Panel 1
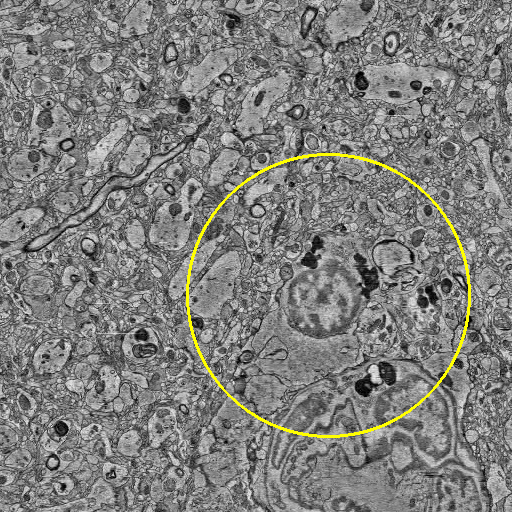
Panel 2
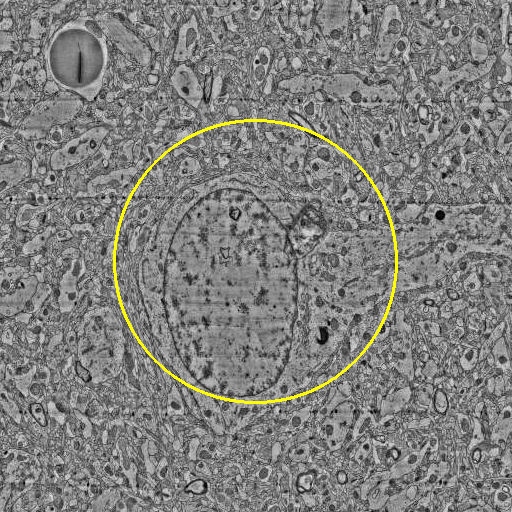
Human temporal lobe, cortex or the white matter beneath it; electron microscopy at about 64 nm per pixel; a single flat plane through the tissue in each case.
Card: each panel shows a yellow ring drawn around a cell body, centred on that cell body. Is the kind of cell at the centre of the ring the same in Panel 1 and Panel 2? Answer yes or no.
no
